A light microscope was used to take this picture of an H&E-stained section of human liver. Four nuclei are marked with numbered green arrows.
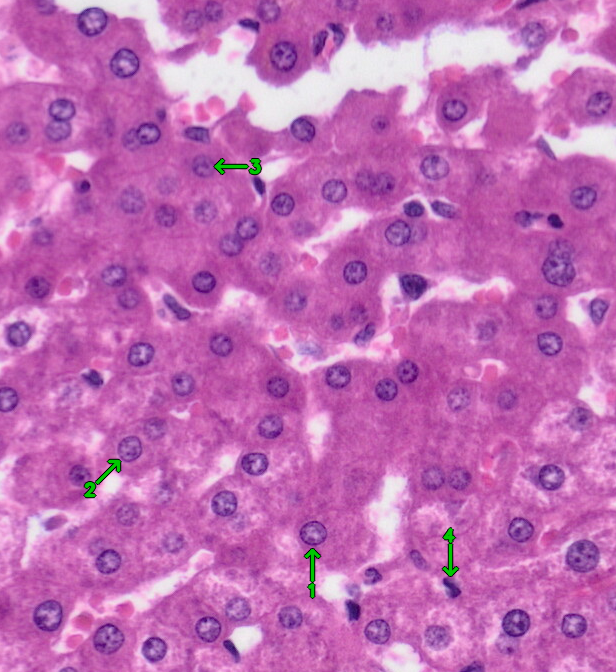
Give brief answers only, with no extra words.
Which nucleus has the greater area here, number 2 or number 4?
2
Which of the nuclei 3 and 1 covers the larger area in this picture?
1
